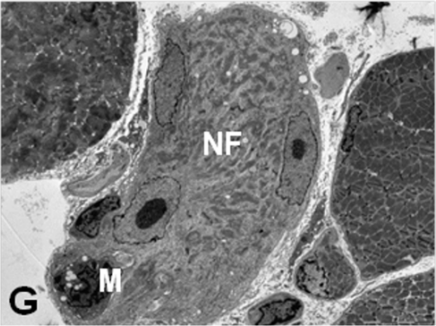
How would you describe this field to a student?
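Electron micrograph of skeletal muscle in which an abnormal muscle fiber is invaded by a macrophage. The abnormal fiber occupies the centre; its cytoplasm is finely granular and mottled, lacking the regular pattern of myofibrils seen in the intact fibers to either side. Several oval nuclei lie within and along this fiber. At its lower left a cell with a dark, dense nucleus and dark cytoplasm, the macrophage, lies against the damaged fiber. Intact neighbouring fibers show densely packed myofibrils separated by pale lines, and pale spaces of connective tissue separate the fibers.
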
